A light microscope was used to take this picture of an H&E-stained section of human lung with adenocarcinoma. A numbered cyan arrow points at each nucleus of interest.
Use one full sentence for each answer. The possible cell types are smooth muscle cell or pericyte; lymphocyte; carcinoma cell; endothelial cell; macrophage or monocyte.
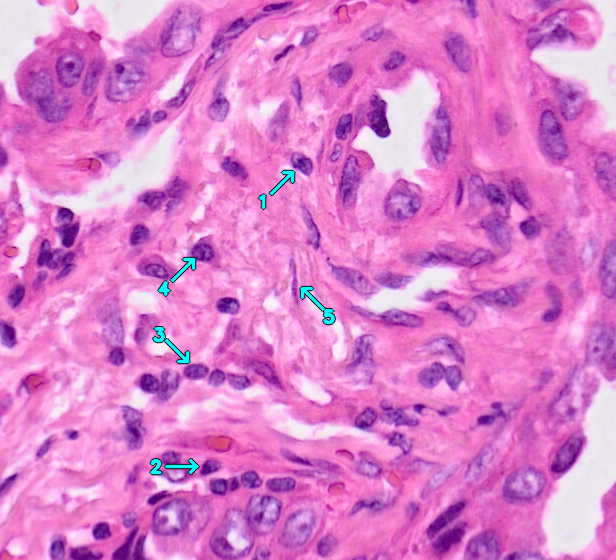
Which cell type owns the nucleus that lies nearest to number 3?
It is a lymphocyte whose nucleus is nearest to number 3.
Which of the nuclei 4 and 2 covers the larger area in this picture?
Of the two, number 4 is bigger and takes up about 1.5 times the area of number 2.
